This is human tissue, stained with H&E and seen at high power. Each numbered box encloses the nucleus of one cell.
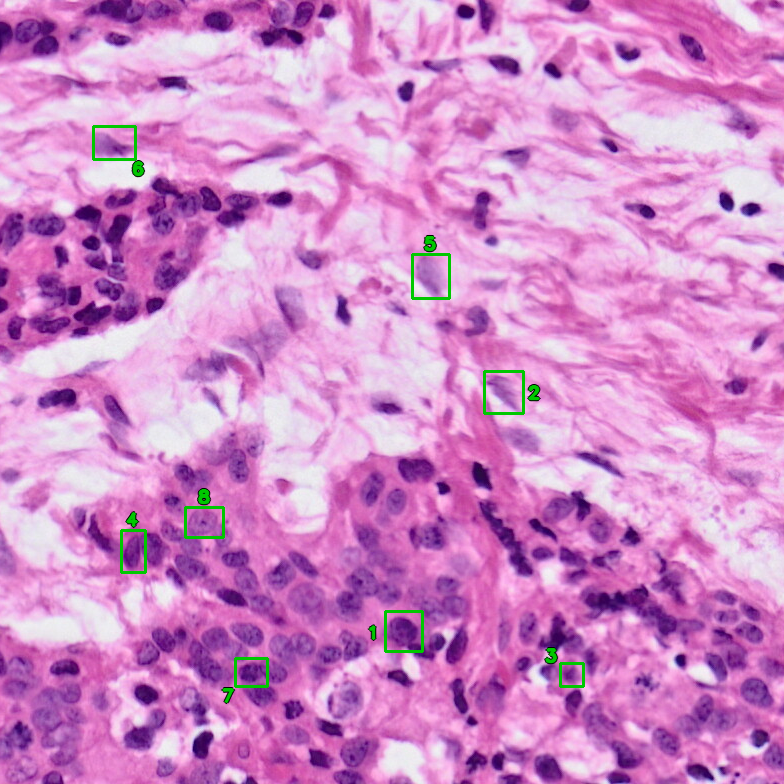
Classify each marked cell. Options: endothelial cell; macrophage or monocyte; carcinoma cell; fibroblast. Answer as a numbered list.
1. carcinoma cell
2. fibroblast
3. macrophage or monocyte
4. carcinoma cell
5. fibroblast
6. fibroblast
7. carcinoma cell
8. carcinoma cell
